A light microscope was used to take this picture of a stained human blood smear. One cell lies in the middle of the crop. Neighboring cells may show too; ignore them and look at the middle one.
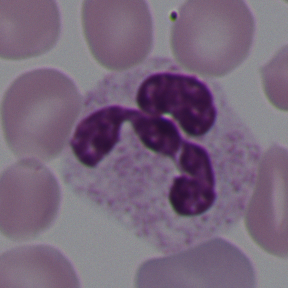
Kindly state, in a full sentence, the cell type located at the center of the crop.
At the middle of the frame sits a neutrophil.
